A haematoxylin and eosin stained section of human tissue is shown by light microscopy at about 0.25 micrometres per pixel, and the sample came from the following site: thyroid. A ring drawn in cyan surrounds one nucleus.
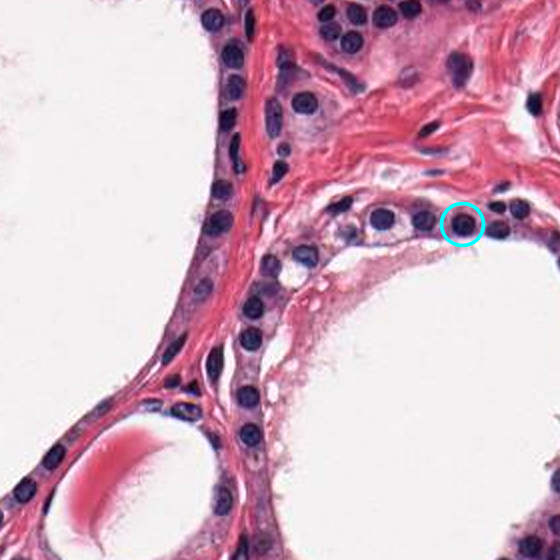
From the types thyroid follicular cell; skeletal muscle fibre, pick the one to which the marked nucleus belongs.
thyroid follicular cell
